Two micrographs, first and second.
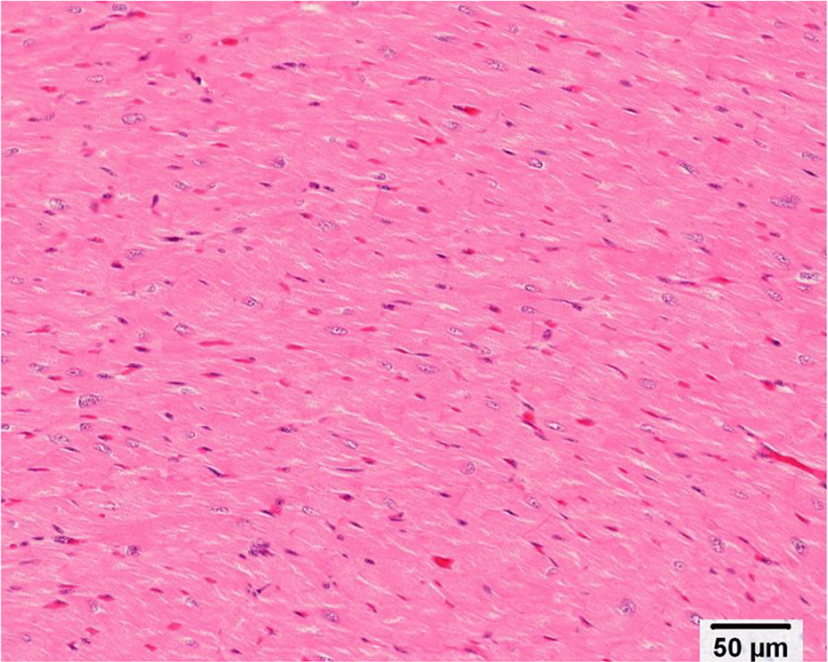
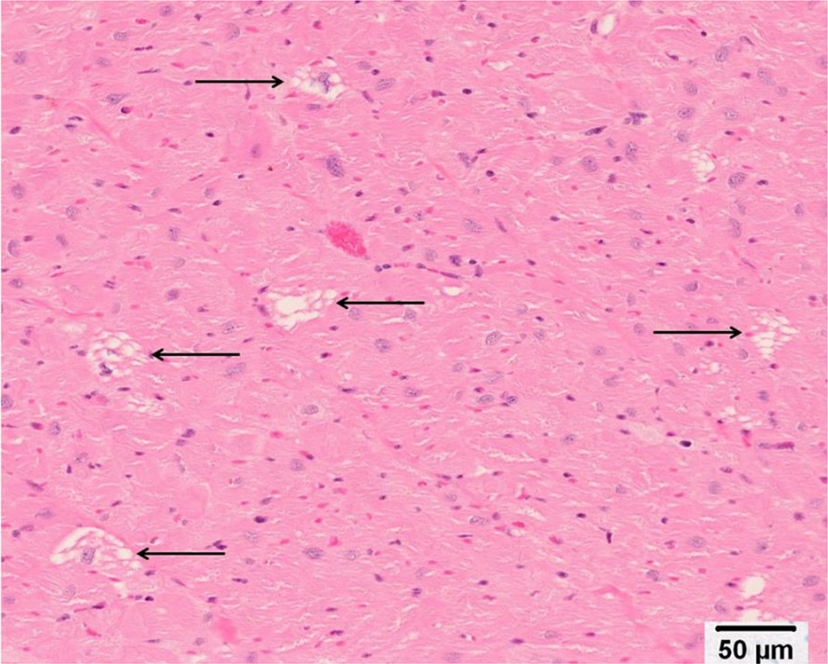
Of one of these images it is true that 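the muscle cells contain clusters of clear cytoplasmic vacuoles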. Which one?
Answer: The second image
